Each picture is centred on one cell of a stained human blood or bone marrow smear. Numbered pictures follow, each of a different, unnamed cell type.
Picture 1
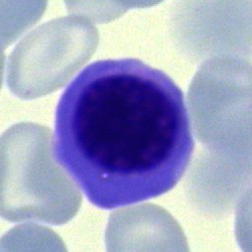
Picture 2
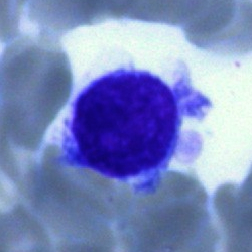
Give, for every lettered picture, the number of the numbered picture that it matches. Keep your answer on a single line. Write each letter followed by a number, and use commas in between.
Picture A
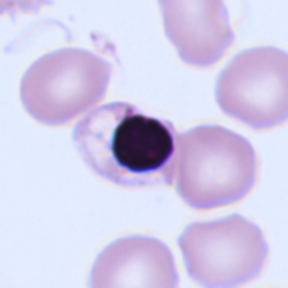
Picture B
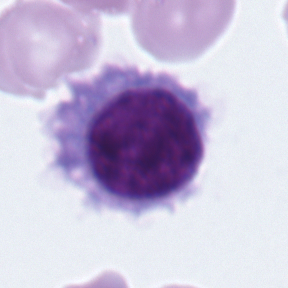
A 1, B 2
